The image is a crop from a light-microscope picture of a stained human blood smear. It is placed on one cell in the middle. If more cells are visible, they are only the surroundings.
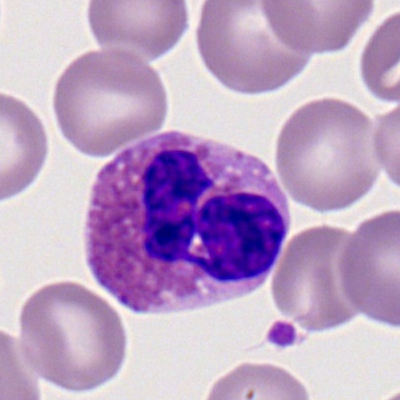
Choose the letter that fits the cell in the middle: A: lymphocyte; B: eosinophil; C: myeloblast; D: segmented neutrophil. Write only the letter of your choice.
B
